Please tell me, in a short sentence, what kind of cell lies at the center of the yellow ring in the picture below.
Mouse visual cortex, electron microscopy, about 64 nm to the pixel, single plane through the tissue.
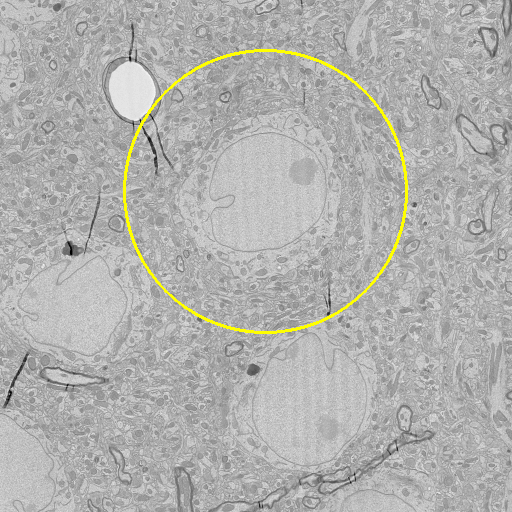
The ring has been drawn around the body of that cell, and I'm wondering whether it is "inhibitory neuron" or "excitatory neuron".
The cell at the center of the ring is an excitatory neuron.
